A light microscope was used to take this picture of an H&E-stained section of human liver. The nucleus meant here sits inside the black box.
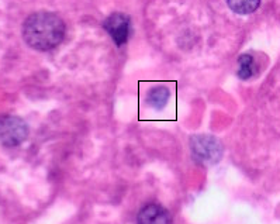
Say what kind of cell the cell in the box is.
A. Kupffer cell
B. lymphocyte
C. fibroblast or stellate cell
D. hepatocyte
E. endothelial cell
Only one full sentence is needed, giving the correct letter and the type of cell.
In the section, the cell in the box is a lymphocyte, and option B is correct accordingly.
